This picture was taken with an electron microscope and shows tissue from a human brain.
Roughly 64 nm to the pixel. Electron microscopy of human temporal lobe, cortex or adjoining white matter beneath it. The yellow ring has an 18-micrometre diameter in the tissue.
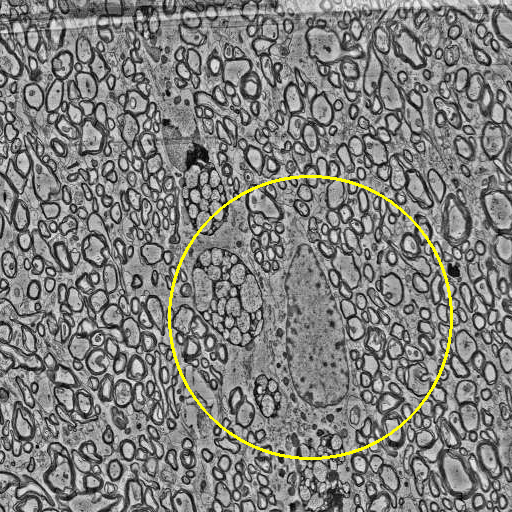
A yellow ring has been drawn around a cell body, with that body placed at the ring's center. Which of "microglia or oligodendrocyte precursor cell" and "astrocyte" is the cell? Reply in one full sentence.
In this picture, an astrocyte is the cell at the center of the yellow ring.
